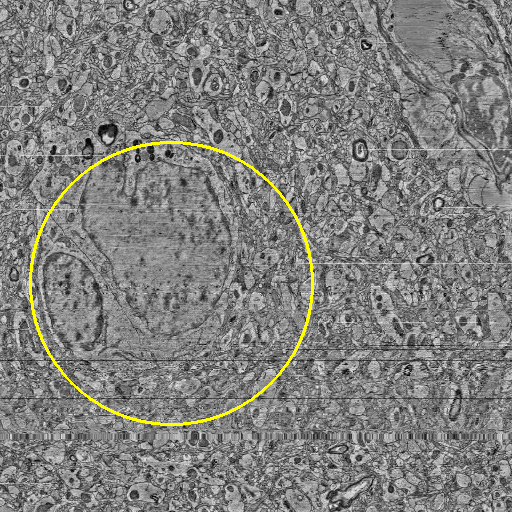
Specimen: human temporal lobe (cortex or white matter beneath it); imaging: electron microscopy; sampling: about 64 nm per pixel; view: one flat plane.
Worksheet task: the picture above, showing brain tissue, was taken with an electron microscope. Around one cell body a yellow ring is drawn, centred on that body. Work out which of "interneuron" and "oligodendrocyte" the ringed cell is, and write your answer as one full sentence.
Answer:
It is an interneuron whose cell body lies at the centre of the yellow ring.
